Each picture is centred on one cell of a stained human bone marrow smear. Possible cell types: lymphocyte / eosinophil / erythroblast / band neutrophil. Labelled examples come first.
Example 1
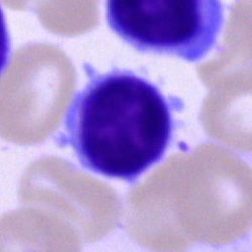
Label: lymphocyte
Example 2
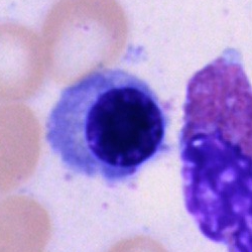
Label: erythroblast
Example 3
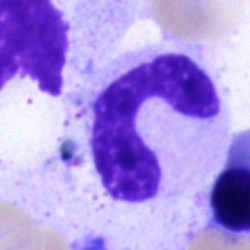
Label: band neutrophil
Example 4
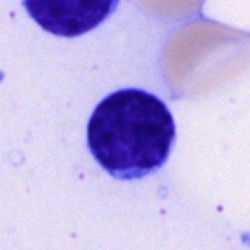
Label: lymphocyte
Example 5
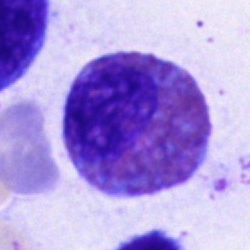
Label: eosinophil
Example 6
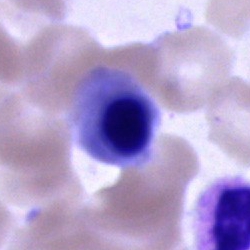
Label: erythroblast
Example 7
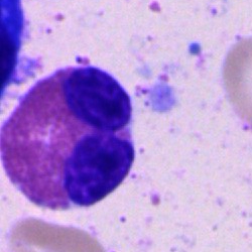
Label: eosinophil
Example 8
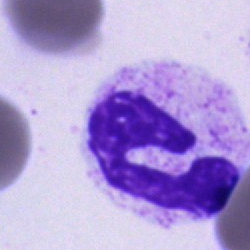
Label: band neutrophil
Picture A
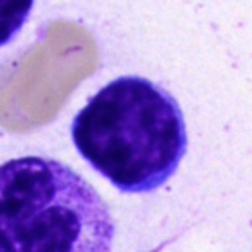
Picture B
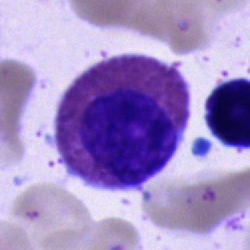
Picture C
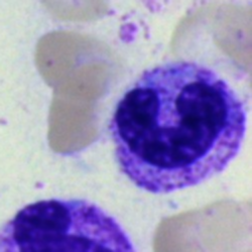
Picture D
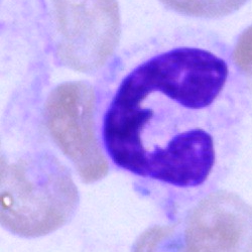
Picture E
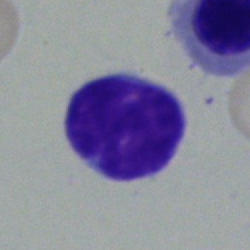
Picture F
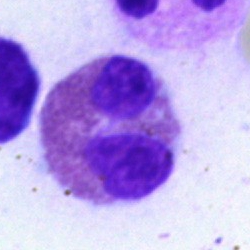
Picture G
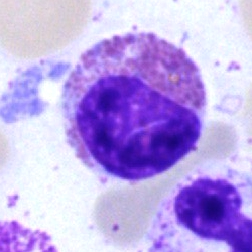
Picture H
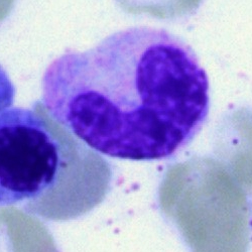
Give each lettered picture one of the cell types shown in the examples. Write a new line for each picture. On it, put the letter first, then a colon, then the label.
A: lymphocyte
B: eosinophil
C: band neutrophil
D: band neutrophil
E: lymphocyte
F: eosinophil
G: eosinophil
H: band neutrophil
